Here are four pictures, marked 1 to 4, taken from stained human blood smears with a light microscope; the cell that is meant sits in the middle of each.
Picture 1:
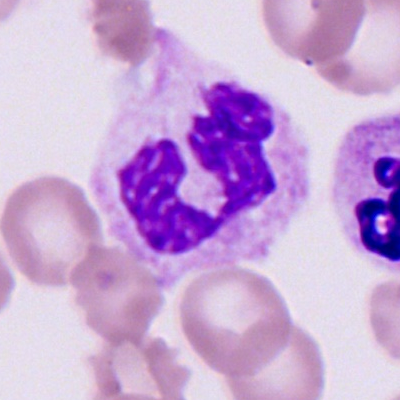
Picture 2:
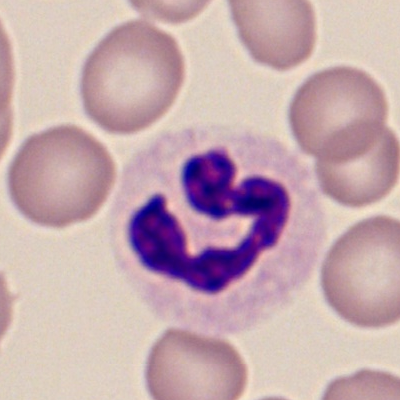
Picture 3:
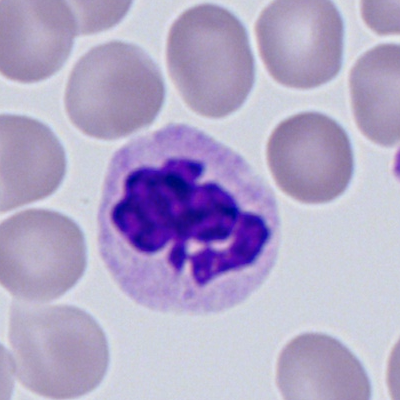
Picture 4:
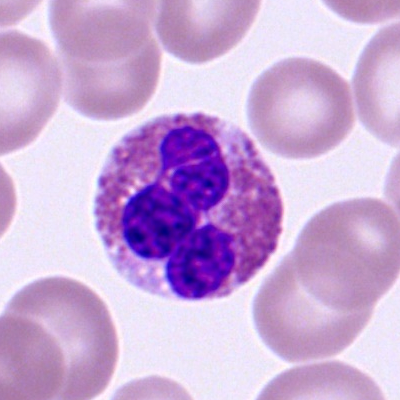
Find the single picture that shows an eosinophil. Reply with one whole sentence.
The picture with the eosinophil is 4.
